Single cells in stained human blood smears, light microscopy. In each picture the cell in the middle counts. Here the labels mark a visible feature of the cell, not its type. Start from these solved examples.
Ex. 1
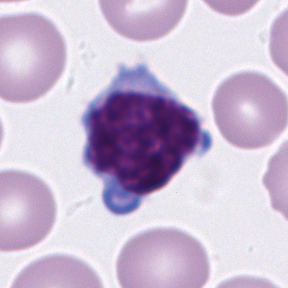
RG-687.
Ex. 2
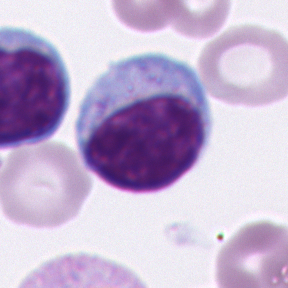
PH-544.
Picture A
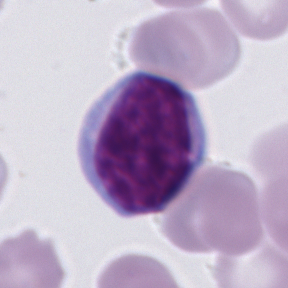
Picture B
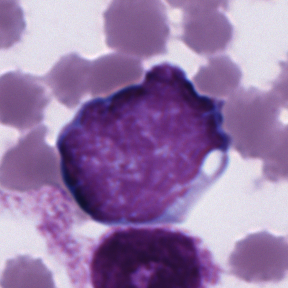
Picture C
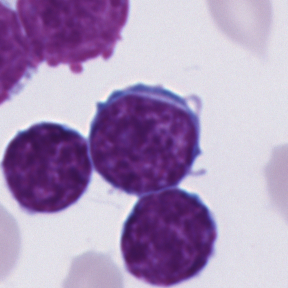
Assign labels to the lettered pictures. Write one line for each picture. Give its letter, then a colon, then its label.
A: PH-544.
B: RG-687.
C: RG-687.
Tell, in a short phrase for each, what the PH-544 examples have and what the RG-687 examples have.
PH-544: smooth outline; RG-687: ragged outline or projections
